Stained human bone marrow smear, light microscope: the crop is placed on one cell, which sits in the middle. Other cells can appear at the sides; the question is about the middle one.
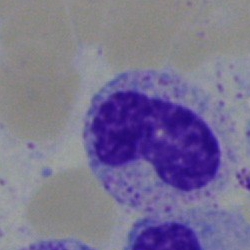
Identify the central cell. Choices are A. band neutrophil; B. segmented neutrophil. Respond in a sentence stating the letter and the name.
According to option A, which is correct, the cell in the middle is a band neutrophil.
